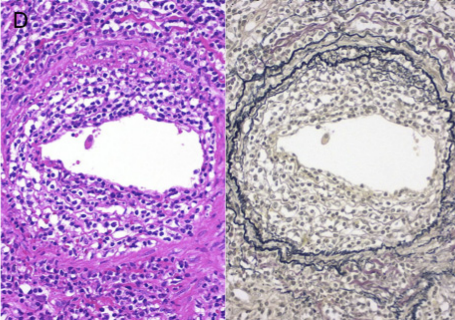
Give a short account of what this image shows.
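Two views of the same blood vessel in cross-section show its wall infiltrated by lymphocytes. In the pink-and-purple left image, an open lumen is surrounded by a thick wall crowded with small round dark nuclei, which also spread into the surrounding tissue. In the right image, black wavy elastic fibres form concentric rings around the vessel and outline its wall. Between and within these black rings the wall is packed with cells and looks thickened.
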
